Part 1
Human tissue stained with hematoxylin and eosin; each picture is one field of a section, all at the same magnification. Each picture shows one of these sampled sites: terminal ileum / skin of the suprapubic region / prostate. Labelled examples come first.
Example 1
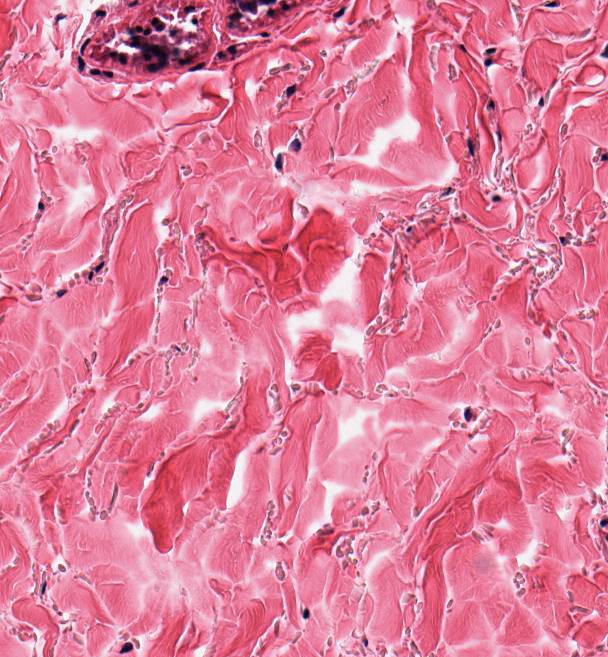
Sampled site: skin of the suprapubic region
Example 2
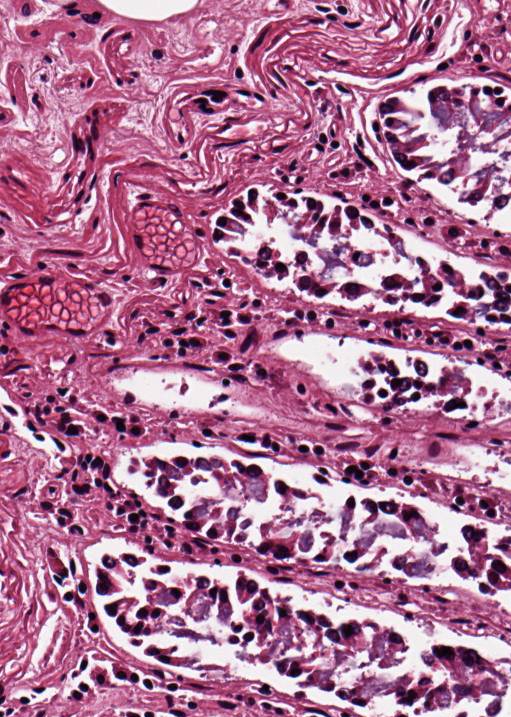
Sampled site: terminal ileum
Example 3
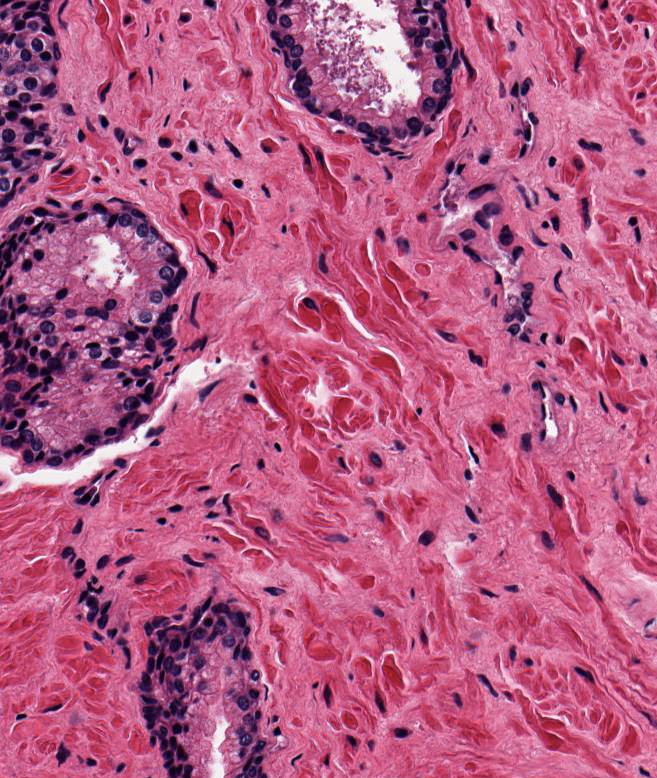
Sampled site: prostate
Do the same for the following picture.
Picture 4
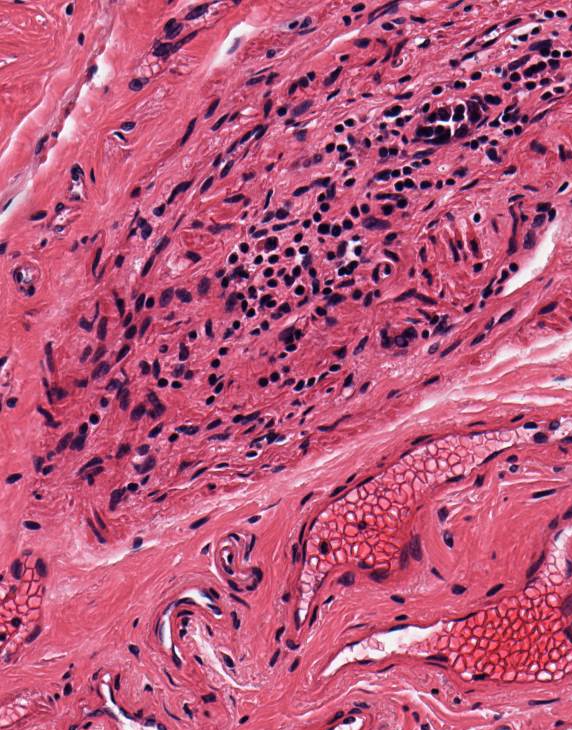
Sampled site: terminal ileum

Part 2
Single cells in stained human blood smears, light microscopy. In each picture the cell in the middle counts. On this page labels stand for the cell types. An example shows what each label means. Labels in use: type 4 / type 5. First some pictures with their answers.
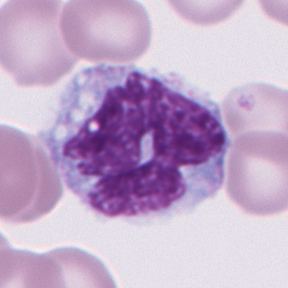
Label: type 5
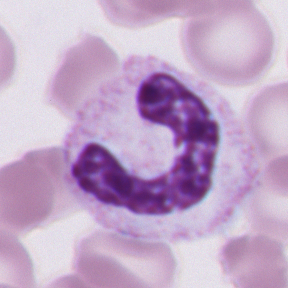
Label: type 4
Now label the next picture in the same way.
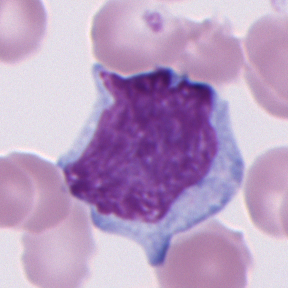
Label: type 5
